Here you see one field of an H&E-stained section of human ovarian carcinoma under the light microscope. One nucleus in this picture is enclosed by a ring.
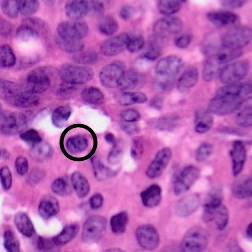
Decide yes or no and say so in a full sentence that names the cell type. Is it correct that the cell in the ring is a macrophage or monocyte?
Yes, that the cell in the ring is a macrophage or monocyte is correct.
